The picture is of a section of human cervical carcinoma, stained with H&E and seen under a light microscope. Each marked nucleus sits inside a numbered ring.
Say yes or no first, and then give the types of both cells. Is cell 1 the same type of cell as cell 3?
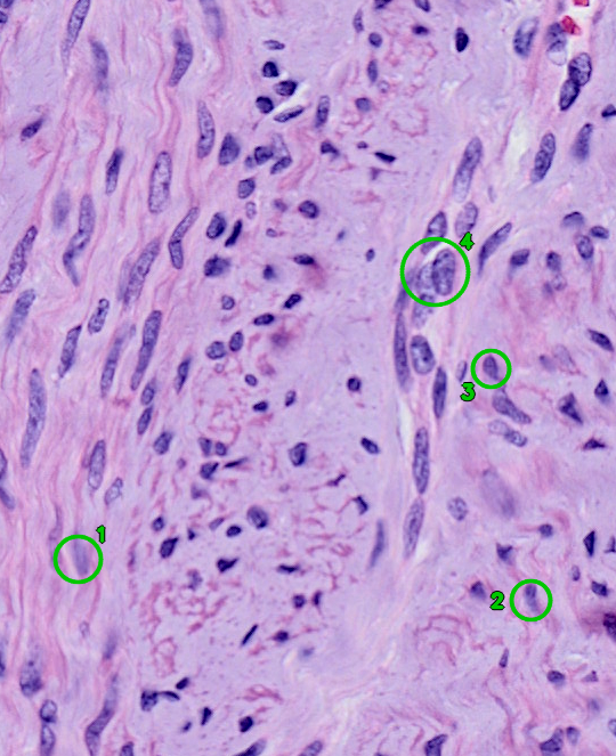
Yes, for cells 1 and 3 alike, the identity is that of smooth muscle cells.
